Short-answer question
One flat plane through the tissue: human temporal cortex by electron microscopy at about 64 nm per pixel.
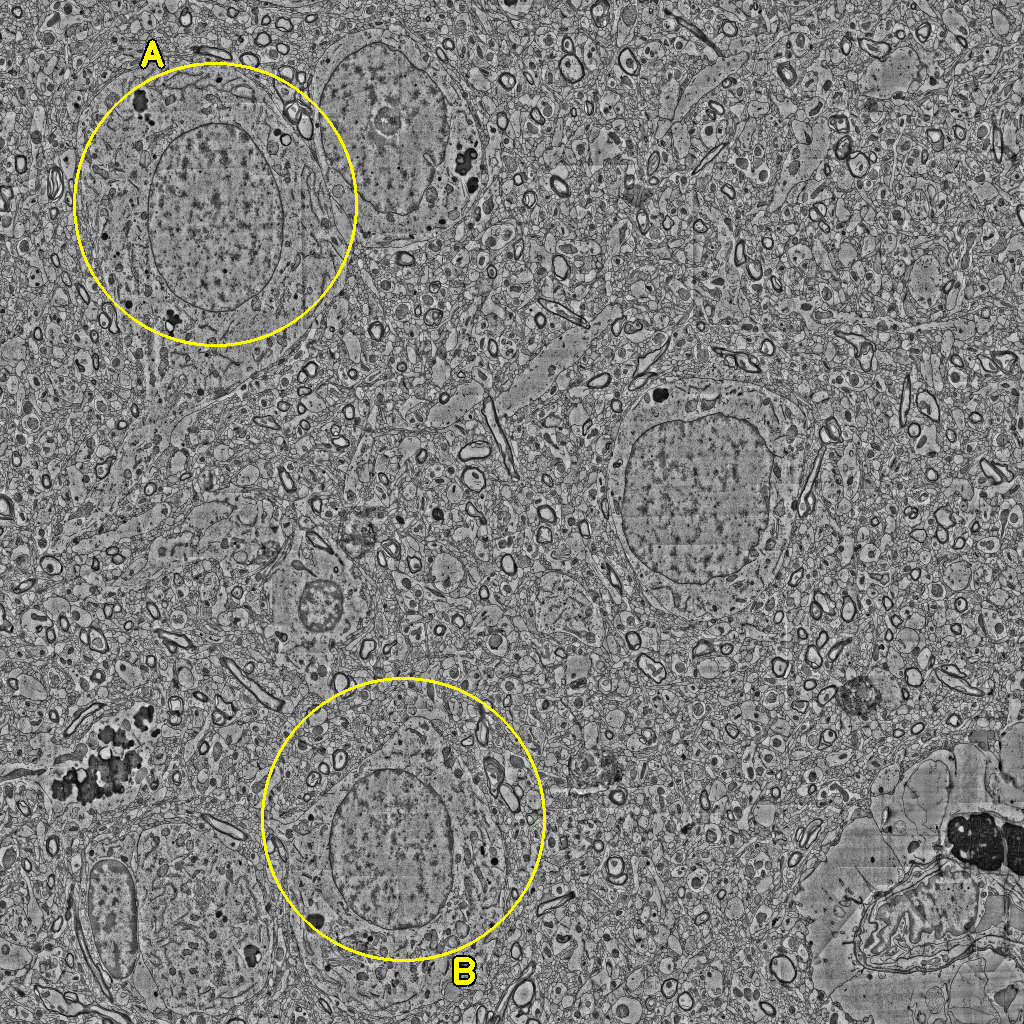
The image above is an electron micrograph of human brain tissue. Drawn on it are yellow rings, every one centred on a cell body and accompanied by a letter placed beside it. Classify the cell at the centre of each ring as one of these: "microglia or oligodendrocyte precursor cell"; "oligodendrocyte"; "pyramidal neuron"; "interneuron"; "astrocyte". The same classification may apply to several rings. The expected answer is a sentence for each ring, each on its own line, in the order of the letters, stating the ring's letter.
The cell at ring A is classified as a pyramidal neuron.
The cell at ring B is classified as an interneuron.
